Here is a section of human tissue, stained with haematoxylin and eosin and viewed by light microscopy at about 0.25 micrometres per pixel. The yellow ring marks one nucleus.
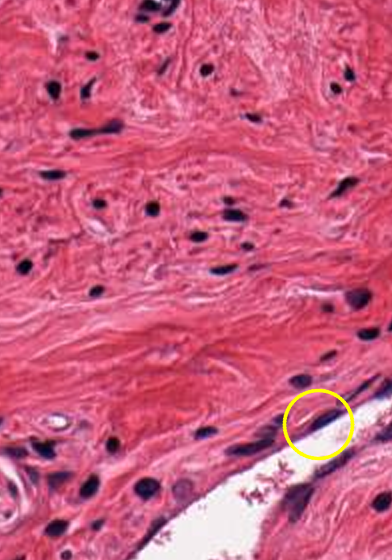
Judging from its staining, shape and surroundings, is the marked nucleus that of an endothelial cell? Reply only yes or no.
yes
